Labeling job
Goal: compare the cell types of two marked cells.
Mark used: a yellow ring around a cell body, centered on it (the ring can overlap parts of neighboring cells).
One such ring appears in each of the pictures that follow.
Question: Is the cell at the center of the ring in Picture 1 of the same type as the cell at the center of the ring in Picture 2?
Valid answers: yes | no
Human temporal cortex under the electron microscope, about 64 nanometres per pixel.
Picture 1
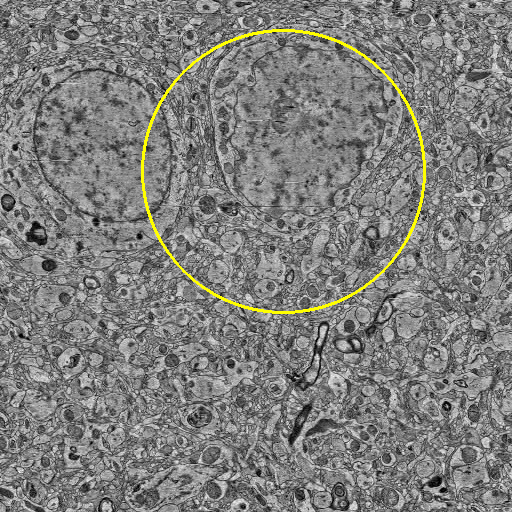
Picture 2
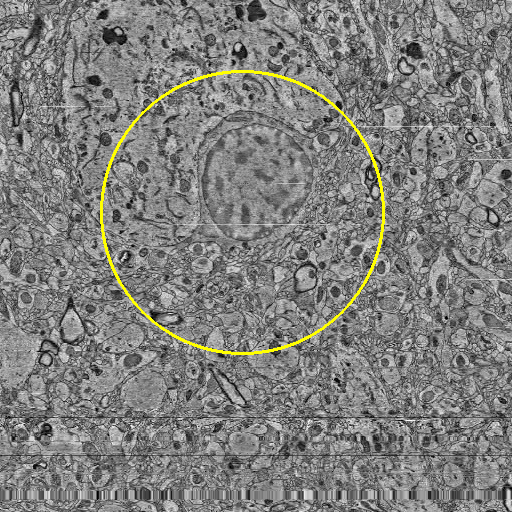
no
